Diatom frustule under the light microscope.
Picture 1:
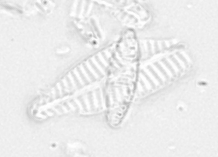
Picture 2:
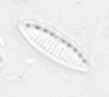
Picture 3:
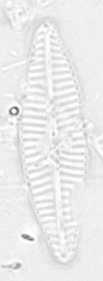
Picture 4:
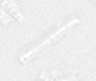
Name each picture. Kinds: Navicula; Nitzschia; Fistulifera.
1: Navicula
2: Nitzschia
3: Navicula
4: Fistulifera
